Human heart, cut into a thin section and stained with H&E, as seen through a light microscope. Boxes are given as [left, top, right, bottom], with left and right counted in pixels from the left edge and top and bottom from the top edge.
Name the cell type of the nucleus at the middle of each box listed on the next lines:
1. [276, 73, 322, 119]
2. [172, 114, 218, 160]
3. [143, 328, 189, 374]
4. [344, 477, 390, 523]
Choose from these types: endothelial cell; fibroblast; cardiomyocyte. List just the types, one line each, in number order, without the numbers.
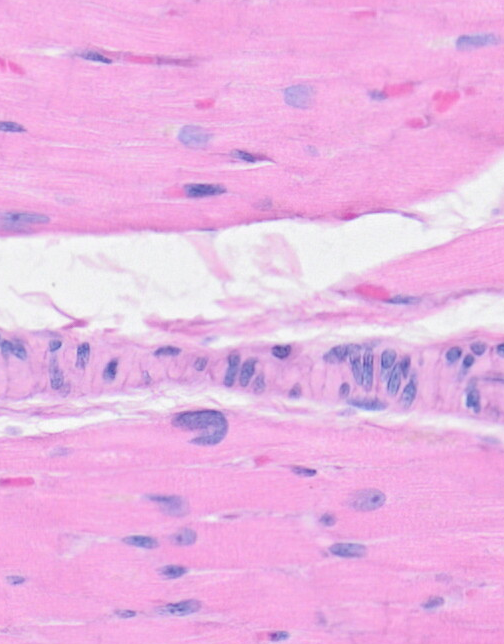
cardiomyocyte
cardiomyocyte
fibroblast
cardiomyocyte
